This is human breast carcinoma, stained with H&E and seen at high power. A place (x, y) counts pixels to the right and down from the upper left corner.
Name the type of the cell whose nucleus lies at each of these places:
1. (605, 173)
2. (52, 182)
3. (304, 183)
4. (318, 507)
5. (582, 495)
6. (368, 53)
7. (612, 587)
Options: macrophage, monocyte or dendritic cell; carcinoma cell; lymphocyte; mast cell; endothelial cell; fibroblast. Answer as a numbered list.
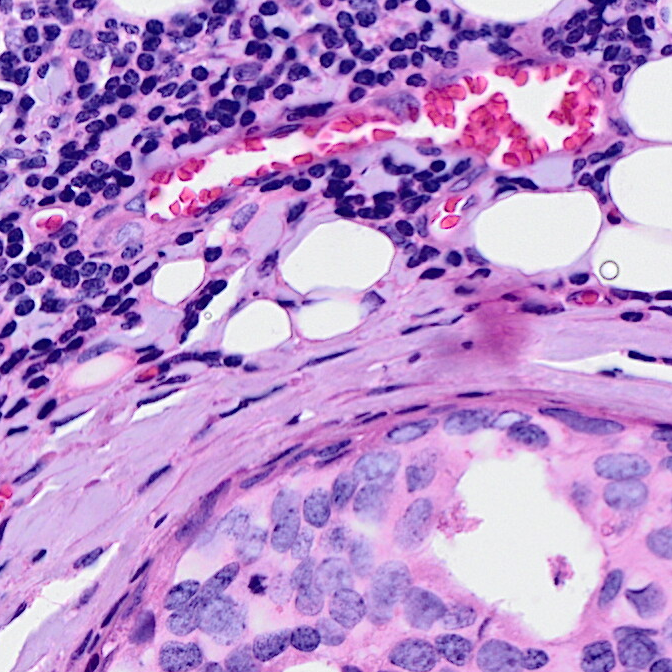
1. lymphocyte
2. lymphocyte
3. lymphocyte
4. carcinoma cell
5. carcinoma cell
6. lymphocyte
7. carcinoma cell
